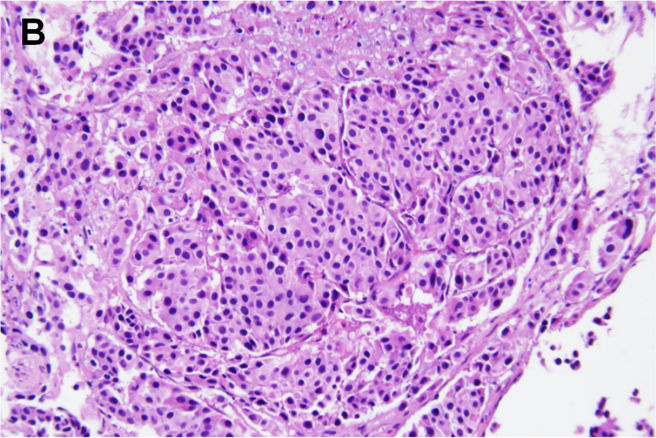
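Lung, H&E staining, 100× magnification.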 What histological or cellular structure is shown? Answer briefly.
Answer: nest-like growth patterns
